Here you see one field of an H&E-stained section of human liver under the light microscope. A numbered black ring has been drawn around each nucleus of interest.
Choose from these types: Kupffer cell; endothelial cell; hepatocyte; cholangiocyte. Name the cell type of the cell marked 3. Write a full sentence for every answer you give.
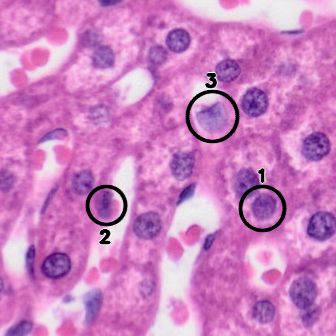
The marked nucleus 3 is that of an endothelial cell.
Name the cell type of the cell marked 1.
The cell marked with the number 1 is a hepatocyte.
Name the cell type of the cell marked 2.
The cell pointed out by number 2 is a Kupffer cell.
